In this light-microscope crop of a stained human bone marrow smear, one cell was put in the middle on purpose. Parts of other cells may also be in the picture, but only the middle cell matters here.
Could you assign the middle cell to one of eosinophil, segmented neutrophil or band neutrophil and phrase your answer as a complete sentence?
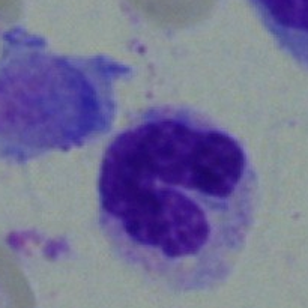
Where the crop is centred, there is a band neutrophil.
